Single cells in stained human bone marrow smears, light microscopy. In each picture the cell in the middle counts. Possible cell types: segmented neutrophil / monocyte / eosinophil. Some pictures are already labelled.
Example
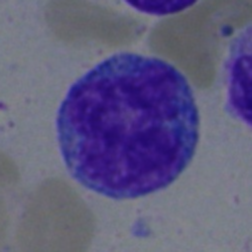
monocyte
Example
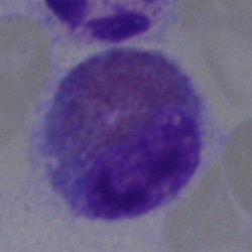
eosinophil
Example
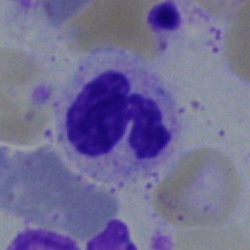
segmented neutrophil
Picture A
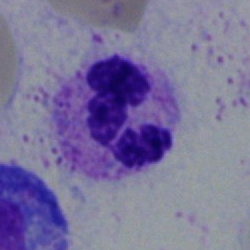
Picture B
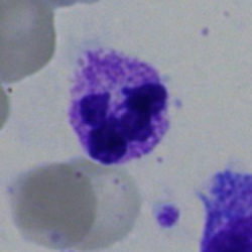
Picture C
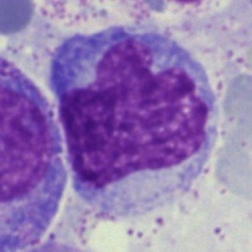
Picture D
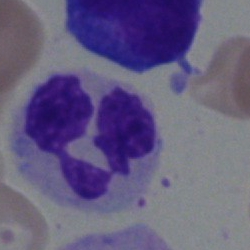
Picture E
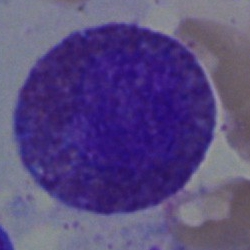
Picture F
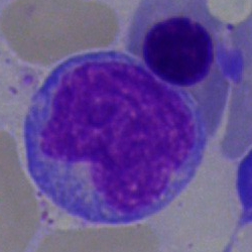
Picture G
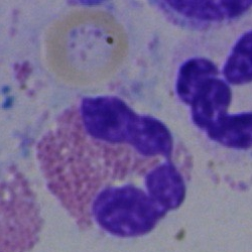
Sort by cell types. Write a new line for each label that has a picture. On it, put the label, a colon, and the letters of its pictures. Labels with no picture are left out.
segmented neutrophil: A, B, D
monocyte: C, F
eosinophil: E, G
